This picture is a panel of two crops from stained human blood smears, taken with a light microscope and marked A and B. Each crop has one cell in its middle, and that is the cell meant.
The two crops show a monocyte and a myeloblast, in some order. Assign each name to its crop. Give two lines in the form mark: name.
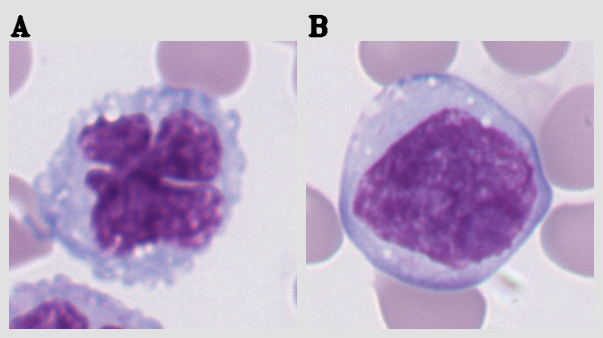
A: monocyte
B: myeloblast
